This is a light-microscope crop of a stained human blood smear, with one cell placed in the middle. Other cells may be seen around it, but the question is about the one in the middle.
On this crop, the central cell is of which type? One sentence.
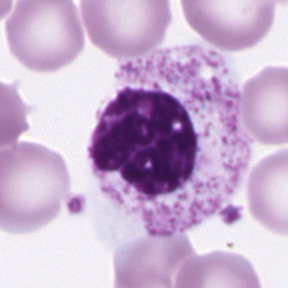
The cell in the middle of the field of view is a segmented neutrophil.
